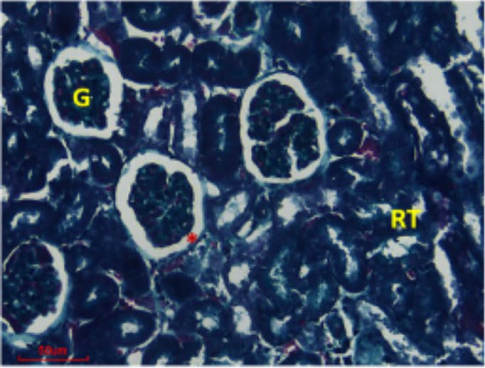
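Renal cortex with several round glomeruli, each a dense tuft surrounded by a clear pale ring of urinary space within a thin capsule. Closely packed tubules in cross and oblique section fill the space between them, the tissue stained predominantly dark blue-green with scattered small red areas.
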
